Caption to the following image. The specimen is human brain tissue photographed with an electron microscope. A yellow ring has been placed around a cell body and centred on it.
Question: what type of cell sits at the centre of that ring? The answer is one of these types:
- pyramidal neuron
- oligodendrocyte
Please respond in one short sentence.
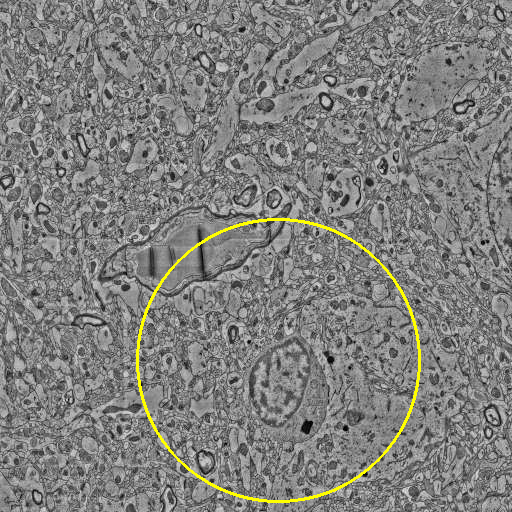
The ring surrounds the cell body of an oligodendrocyte.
